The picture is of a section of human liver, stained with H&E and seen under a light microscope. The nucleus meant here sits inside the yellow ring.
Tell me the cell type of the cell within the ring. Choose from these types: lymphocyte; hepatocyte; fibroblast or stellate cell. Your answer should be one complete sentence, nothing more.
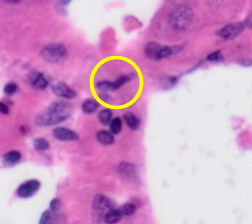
To be brief about it, the cell within the ring is a fibroblast or stellate cell.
